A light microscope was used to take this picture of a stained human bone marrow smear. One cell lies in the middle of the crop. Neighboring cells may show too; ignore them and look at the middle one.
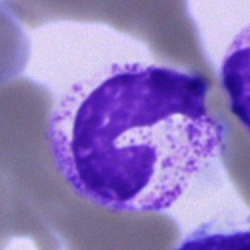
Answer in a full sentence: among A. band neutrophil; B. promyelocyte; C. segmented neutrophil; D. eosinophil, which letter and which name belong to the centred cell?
Option A is the keyed answer: the cell in the middle is a band neutrophil.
